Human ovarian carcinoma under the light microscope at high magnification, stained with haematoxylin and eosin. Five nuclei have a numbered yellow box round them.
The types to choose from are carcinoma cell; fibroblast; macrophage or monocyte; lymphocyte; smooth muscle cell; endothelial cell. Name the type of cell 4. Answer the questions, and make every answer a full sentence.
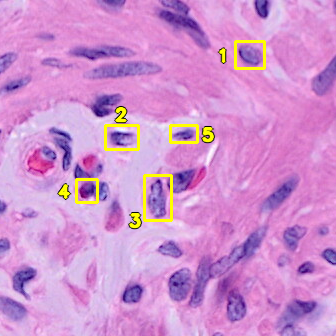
The numbered cell 4 is identified here as an endothelial cell.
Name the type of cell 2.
The cell referred to as 2 is an endothelial cell.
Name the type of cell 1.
Marked with the number 1, this cell is a smooth muscle cell.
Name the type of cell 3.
Cell 3 in the field of view is an endothelial cell.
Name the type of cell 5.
Cell 5 is classified as a smooth muscle cell.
